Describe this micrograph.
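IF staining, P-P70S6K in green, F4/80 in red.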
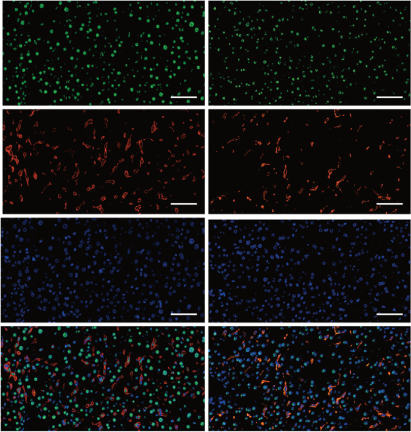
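Liver sections in fluorescence, with blue round nuclei spread evenly through the tissue. Numerous round green spots the size of nuclei are scattered throughout, denser in the left column. Red cells are slender and elongated with thin processes, lying scattered between the round nuclei.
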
